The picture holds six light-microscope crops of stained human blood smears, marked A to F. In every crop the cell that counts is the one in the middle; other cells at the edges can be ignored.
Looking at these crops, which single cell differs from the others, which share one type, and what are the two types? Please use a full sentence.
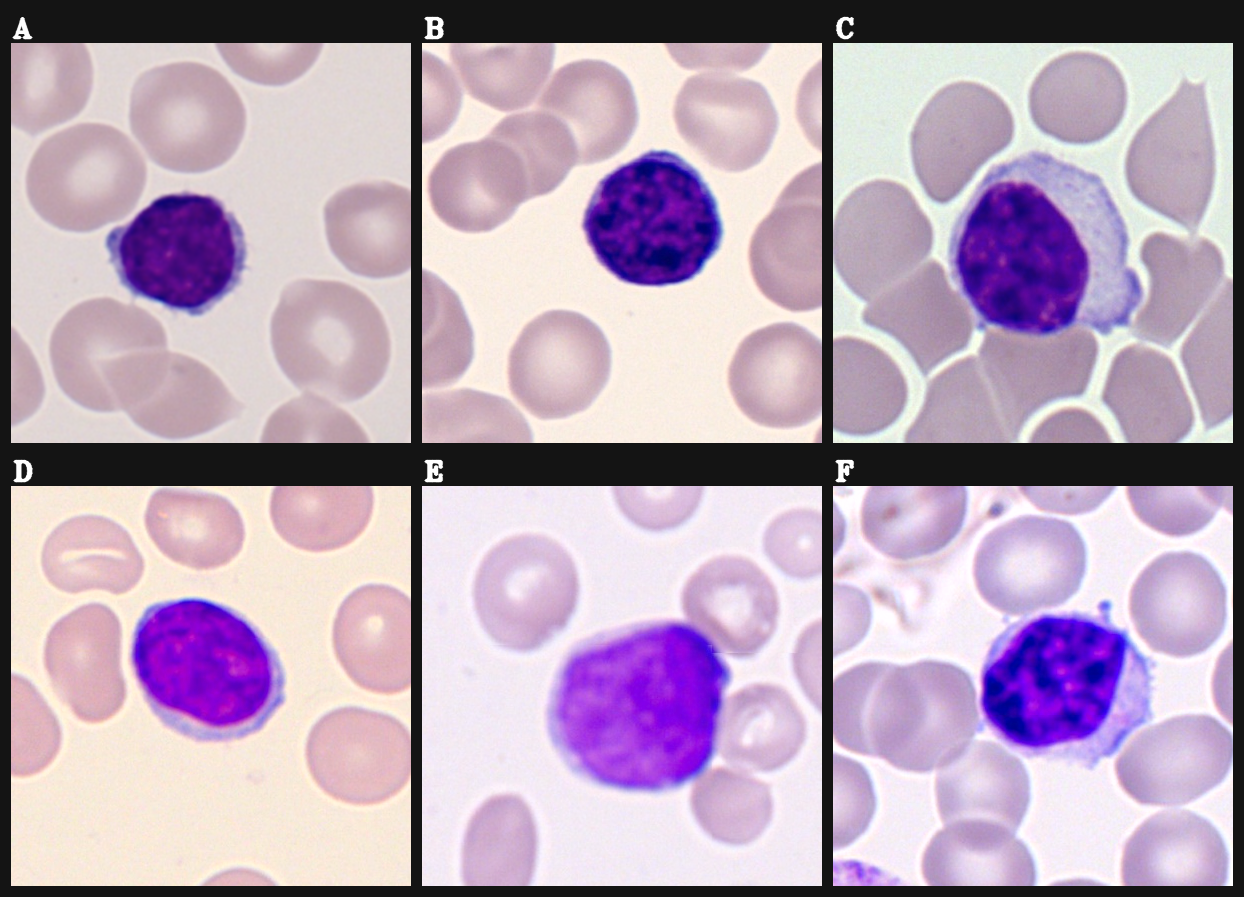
The exception in this group is crop E, a myeloblast, and the others are all lymphocytes.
